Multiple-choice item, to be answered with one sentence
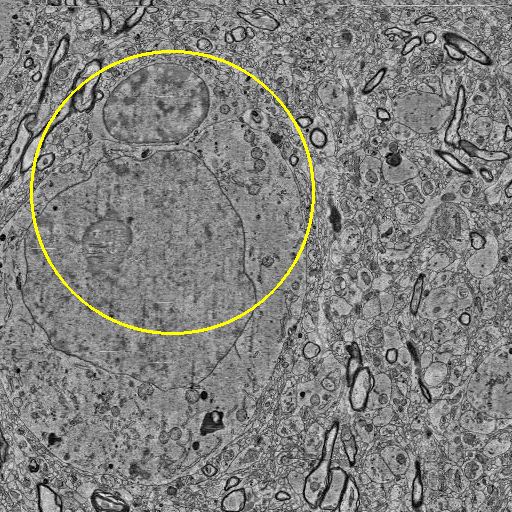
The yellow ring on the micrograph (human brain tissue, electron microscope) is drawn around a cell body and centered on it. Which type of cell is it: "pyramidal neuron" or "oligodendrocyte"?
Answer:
The ring is centered on a pyramidal neuron.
